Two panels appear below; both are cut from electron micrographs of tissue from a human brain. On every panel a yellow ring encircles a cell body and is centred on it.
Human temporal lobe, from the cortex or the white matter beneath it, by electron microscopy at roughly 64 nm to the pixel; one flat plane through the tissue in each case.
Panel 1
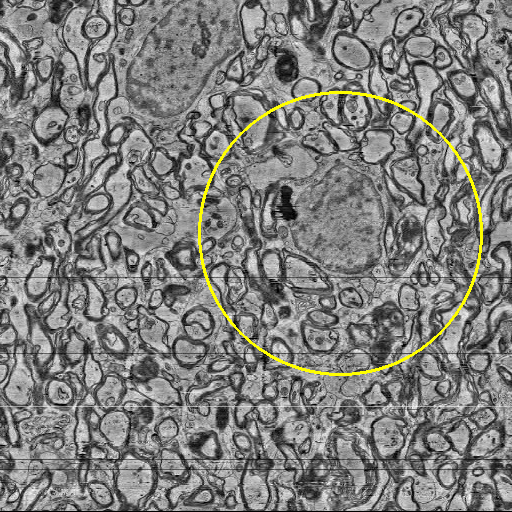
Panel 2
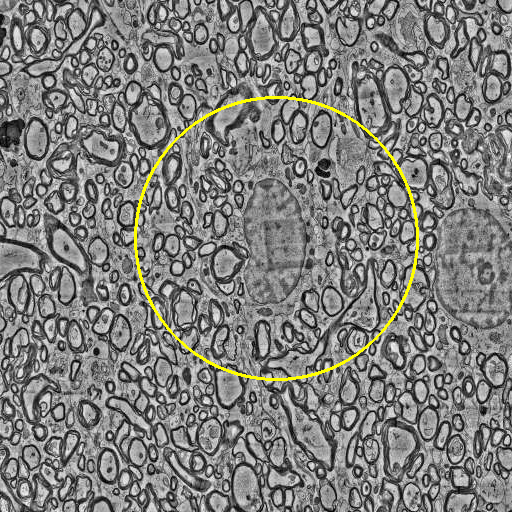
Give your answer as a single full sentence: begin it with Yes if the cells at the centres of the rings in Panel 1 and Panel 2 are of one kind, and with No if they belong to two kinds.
Yes, the cells in the middle of the rings in Panels 1 and 2 are of one kind.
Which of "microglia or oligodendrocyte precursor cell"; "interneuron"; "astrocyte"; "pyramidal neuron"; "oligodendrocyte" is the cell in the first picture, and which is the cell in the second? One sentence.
The cell in the first picture is an oligodendrocyte, and so is the one in the second.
